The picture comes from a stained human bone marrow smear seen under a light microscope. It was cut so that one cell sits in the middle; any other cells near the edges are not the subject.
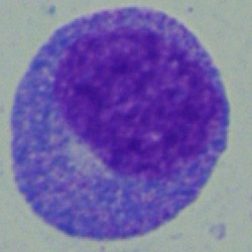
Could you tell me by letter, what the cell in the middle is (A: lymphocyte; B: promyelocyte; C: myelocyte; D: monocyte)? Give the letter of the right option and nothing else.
B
